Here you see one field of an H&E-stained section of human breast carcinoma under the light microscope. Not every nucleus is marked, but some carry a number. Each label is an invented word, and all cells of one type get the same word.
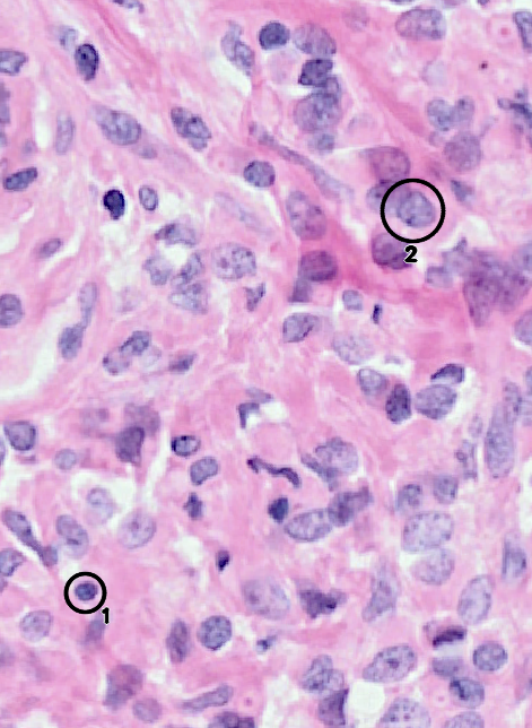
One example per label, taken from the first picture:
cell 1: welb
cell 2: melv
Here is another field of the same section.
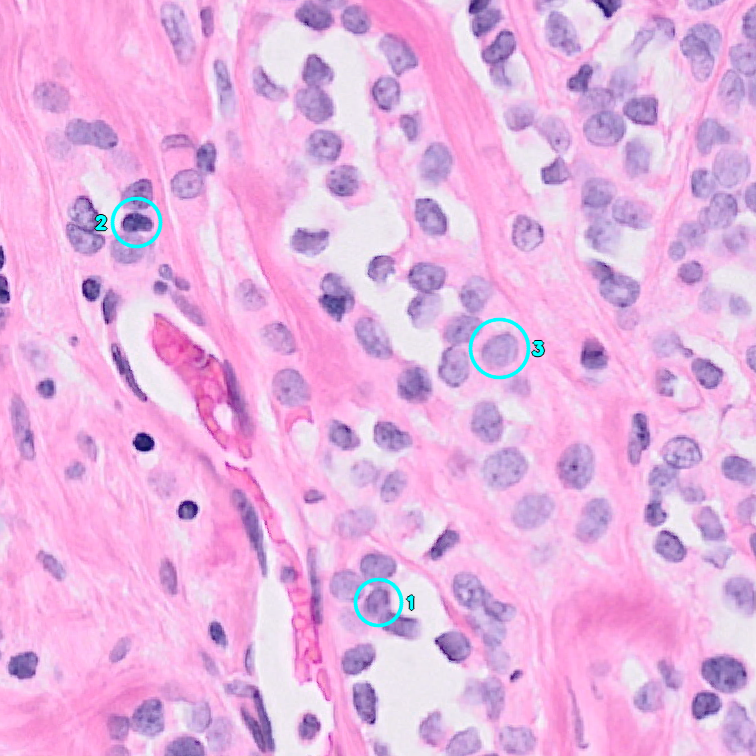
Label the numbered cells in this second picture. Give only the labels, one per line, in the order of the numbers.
melv
welb
melv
